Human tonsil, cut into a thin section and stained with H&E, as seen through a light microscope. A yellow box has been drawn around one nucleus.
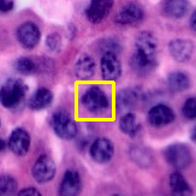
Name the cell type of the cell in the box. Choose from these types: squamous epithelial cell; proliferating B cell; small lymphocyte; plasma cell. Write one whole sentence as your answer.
So far as cell type goes, the cell in the box is a plasma cell.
